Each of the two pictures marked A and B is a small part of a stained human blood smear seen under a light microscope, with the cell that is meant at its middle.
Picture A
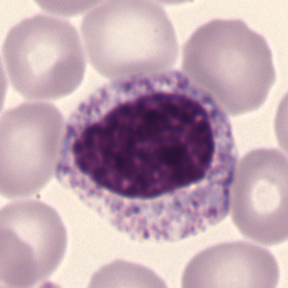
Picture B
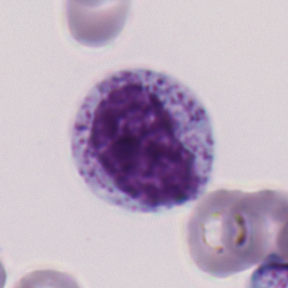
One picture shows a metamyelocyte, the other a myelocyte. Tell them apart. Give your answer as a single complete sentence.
It is picture A that shows a myelocyte, and picture B that shows a metamyelocyte.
